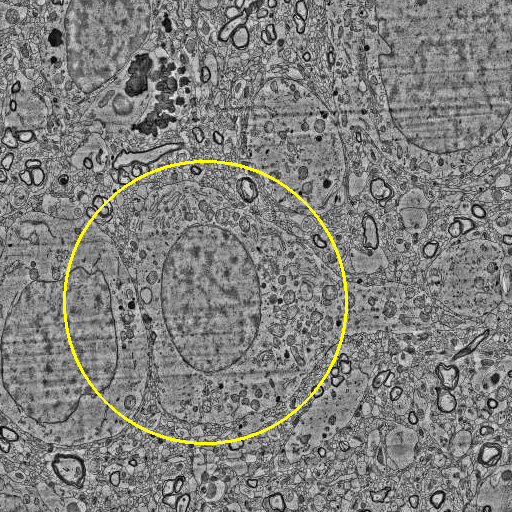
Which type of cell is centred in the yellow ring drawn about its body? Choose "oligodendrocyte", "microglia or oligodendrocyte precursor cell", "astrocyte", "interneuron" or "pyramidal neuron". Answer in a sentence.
The yellow ring surrounds the cell body of an interneuron.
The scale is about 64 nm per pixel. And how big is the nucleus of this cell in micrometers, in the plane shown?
The ringed cell's nucleus measures approximately 10 by 7 micrometres in this plane.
